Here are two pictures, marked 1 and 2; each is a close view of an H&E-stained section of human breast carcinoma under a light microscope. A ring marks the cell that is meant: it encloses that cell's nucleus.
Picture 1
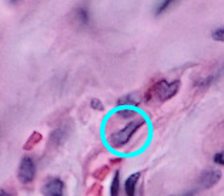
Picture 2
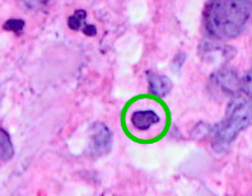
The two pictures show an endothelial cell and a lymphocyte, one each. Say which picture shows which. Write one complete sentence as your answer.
Picture 1 shows an endothelial cell and picture 2 shows a lymphocyte.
